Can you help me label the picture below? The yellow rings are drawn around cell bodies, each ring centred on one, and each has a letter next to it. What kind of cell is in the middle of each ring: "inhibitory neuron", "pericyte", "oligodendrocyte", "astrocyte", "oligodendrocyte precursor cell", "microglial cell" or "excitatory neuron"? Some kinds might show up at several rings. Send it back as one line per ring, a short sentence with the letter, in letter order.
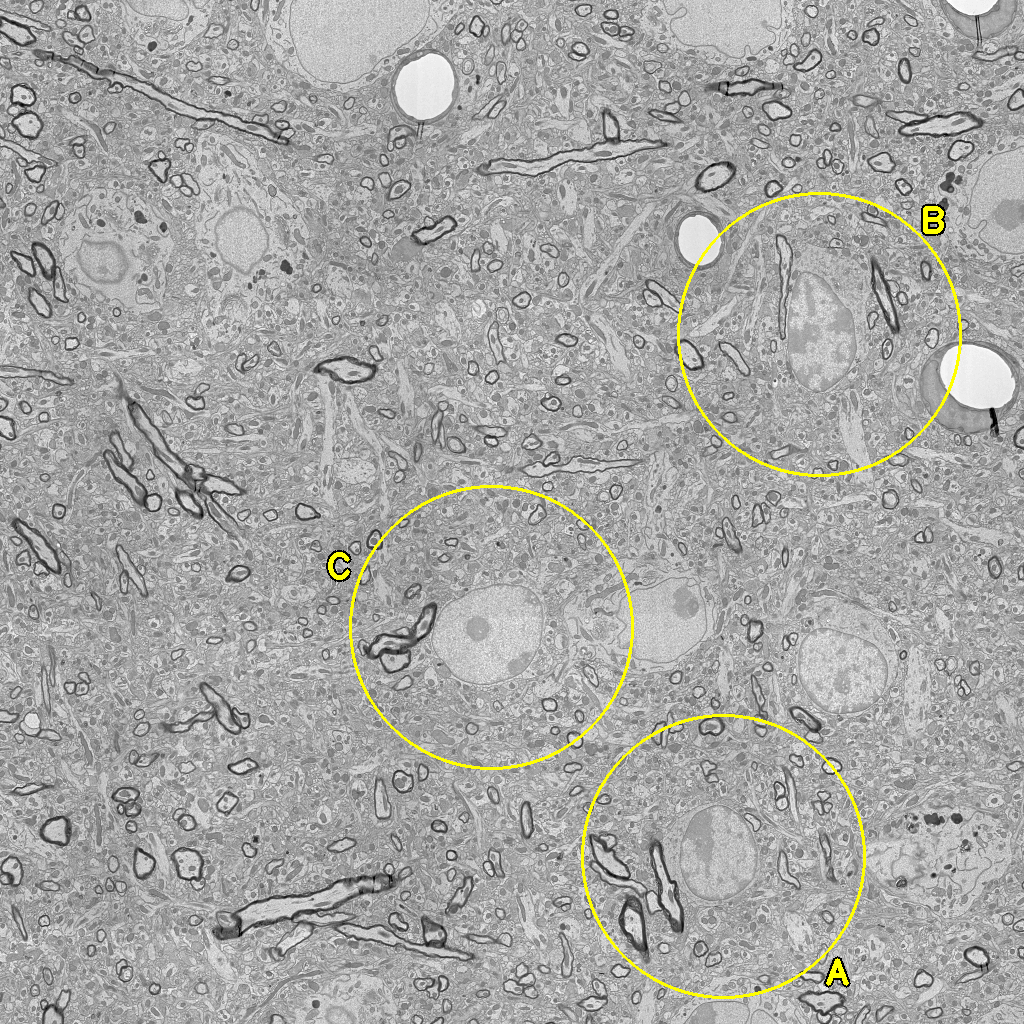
Ring A has an oligodendrocyte in the middle.
Ring B has an oligodendrocyte in the middle.
Ring C has an astrocyte in the middle.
